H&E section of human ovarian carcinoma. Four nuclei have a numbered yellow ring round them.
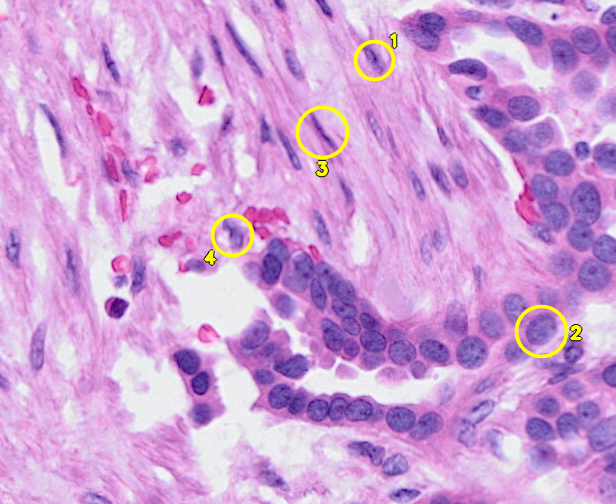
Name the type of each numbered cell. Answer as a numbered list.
1. fibroblast
2. carcinoma cell
3. fibroblast
4. fibroblast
